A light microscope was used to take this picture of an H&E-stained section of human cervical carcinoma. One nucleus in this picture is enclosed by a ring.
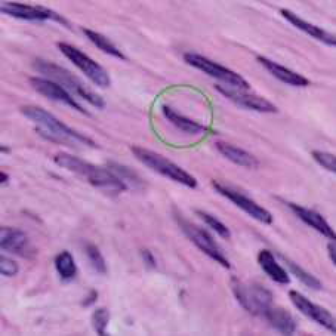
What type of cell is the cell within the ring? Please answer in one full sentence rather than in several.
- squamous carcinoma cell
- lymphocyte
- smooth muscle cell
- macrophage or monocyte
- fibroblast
Recorded by type, the cell within the ring is a fibroblast.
